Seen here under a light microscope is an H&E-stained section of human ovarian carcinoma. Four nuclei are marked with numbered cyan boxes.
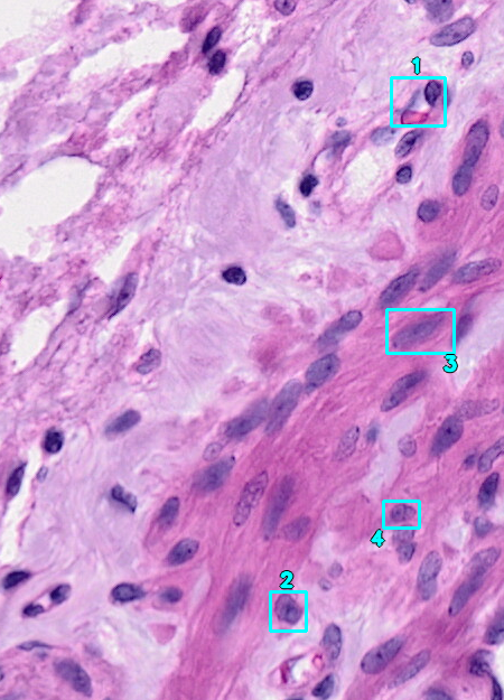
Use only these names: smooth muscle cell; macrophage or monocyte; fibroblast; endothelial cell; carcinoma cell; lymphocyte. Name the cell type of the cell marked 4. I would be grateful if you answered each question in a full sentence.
The cell tagged with 4 in this tissue section is a smooth muscle cell.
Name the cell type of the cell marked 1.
To an endothelial cell belongs the nucleus marked 1.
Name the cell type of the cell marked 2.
The nucleus labeled 2 belongs to a smooth muscle cell.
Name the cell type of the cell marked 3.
In this section, the cell tagged 3 is a smooth muscle cell.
